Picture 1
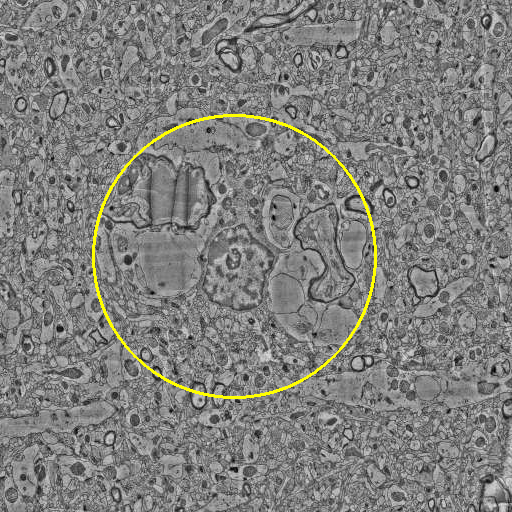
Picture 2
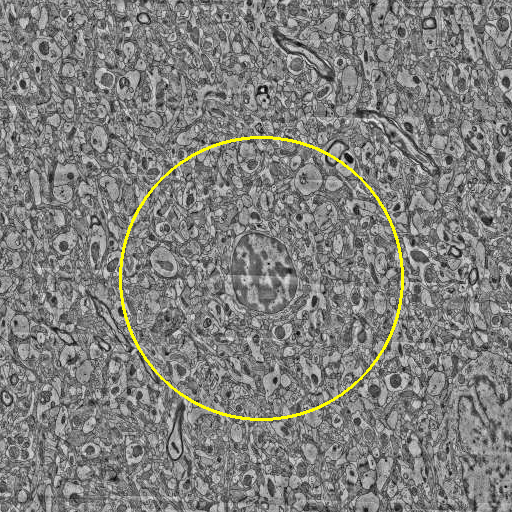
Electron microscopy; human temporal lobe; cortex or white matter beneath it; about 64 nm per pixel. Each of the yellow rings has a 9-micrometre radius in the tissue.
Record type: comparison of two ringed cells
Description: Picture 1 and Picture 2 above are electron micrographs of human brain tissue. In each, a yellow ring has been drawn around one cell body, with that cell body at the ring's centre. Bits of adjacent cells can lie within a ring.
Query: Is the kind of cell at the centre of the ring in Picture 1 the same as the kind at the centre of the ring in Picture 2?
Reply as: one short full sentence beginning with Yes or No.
No, the two ringed cells are of two separate kinds.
